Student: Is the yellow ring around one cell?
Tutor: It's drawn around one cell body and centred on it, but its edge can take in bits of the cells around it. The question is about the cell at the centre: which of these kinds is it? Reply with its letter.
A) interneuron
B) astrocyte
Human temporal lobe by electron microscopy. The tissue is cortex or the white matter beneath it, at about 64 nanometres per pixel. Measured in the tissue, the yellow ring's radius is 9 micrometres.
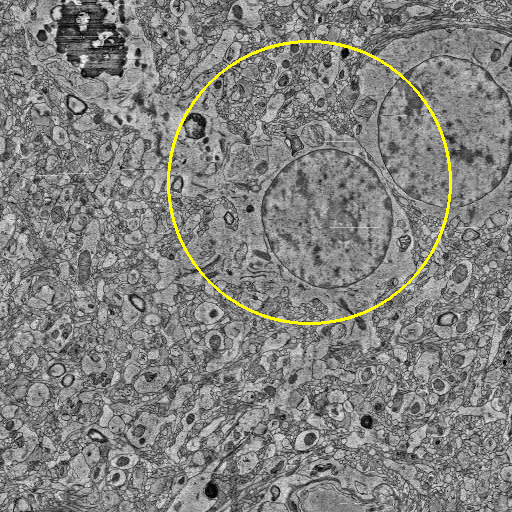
B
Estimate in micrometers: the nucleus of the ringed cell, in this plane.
The nucleus is about 9 micrometres across in this plane.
